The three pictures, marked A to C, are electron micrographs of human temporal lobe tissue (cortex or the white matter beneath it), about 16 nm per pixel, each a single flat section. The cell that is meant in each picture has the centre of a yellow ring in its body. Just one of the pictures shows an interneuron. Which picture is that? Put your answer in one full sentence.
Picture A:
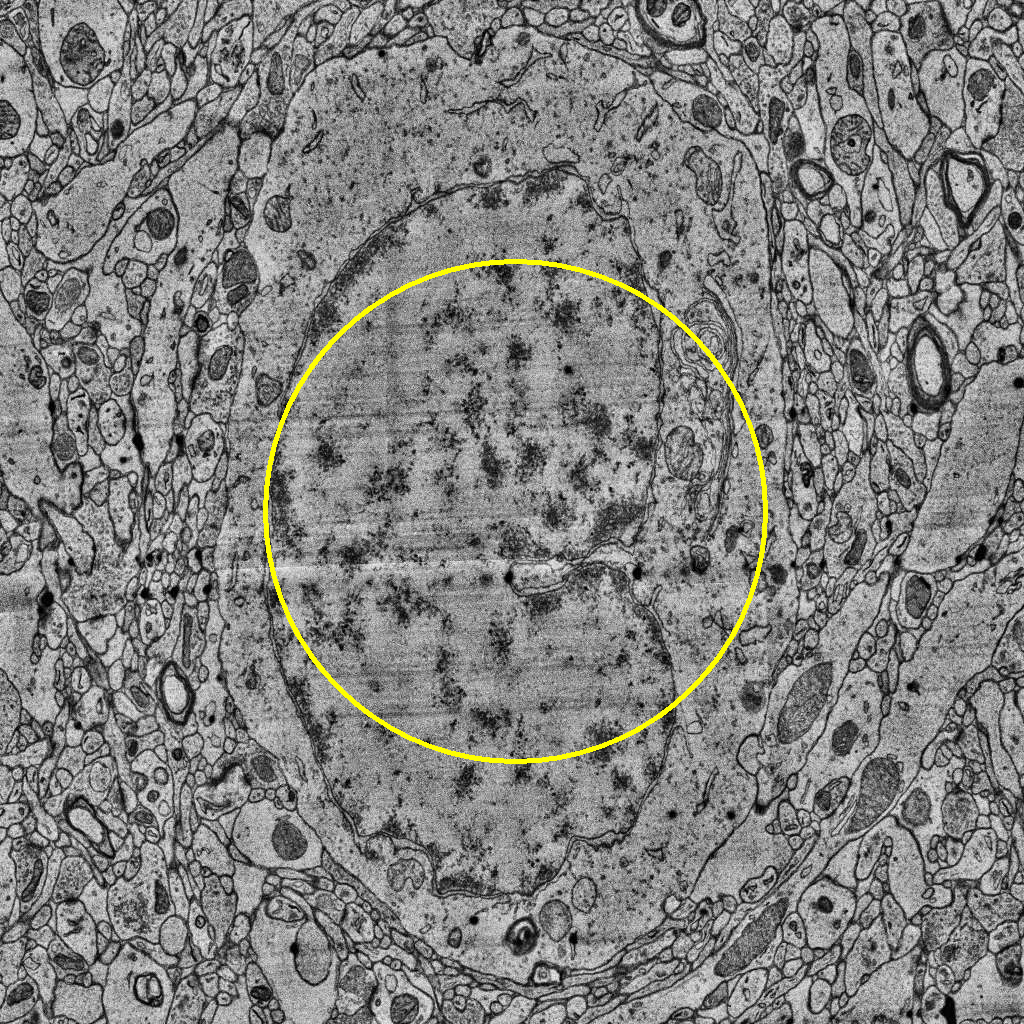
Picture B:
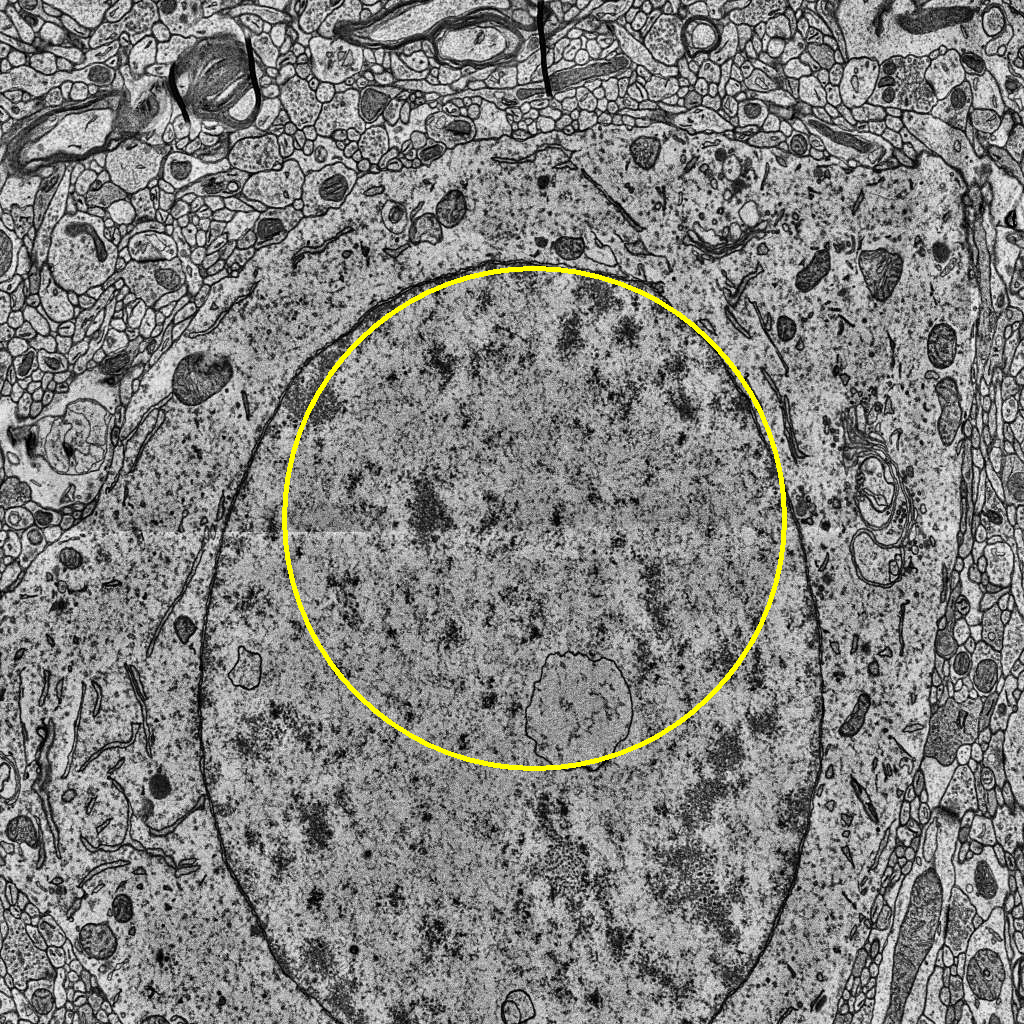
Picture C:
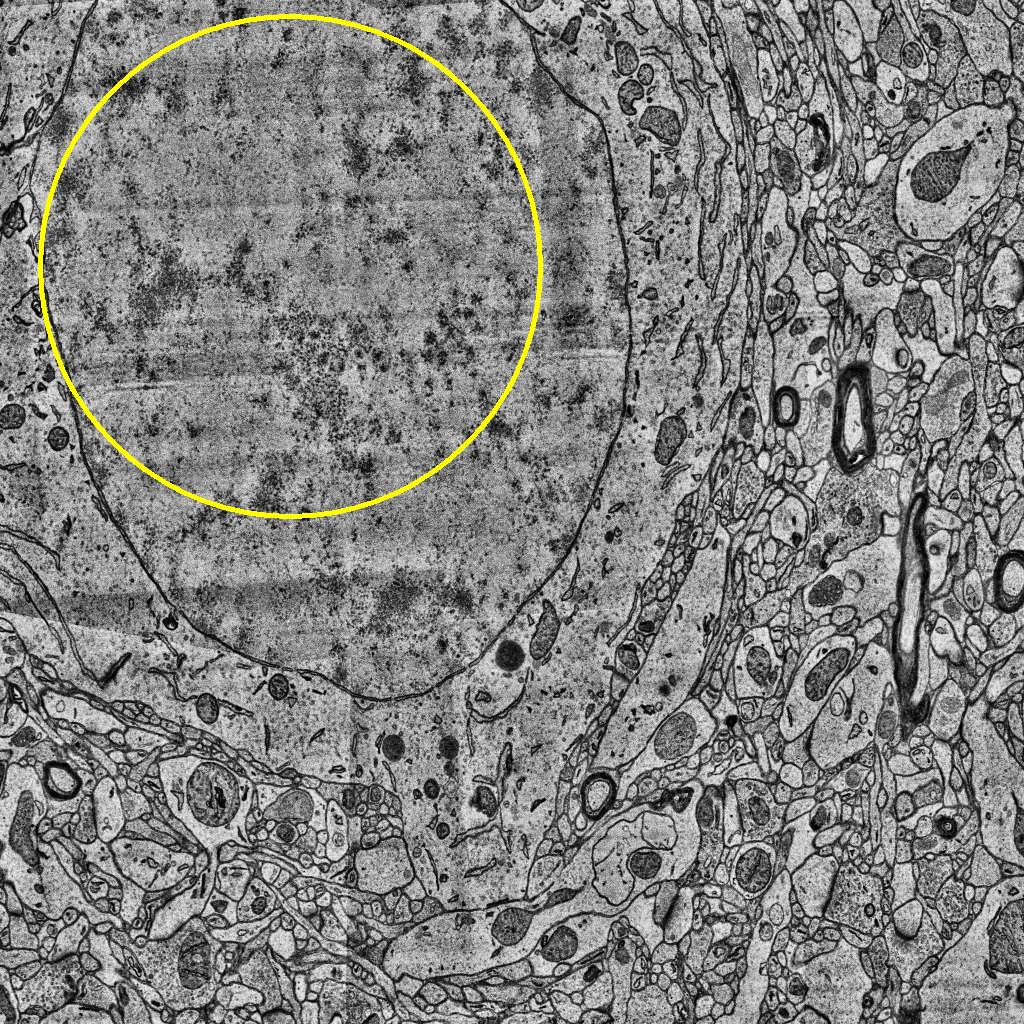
Picture A shows the interneuron.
